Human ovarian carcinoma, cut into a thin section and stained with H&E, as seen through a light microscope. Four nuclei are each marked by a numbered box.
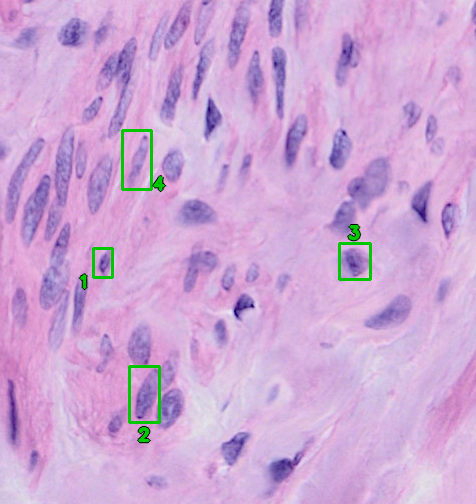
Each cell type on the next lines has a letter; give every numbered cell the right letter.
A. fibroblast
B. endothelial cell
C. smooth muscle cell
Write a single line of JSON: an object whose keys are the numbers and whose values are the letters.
{"1": "C", "2": "C", "3": "A", "4": "C"}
